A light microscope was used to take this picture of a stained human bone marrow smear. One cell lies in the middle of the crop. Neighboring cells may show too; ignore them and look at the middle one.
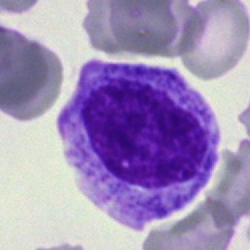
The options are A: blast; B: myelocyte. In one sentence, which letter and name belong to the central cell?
What option B states is correct, the central cell being a myelocyte.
